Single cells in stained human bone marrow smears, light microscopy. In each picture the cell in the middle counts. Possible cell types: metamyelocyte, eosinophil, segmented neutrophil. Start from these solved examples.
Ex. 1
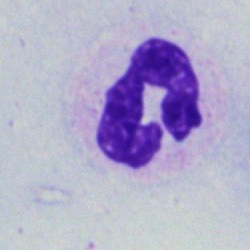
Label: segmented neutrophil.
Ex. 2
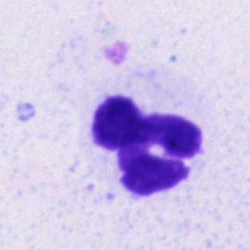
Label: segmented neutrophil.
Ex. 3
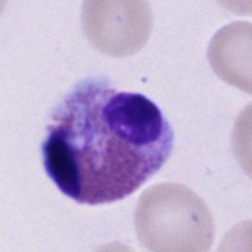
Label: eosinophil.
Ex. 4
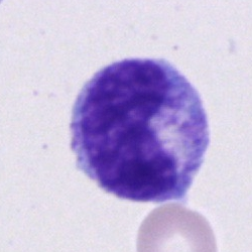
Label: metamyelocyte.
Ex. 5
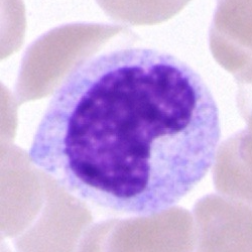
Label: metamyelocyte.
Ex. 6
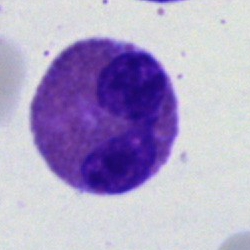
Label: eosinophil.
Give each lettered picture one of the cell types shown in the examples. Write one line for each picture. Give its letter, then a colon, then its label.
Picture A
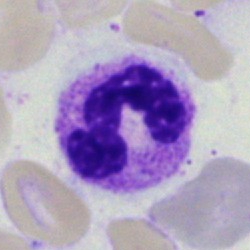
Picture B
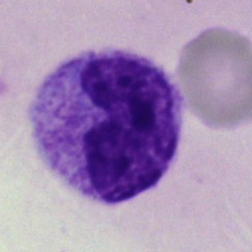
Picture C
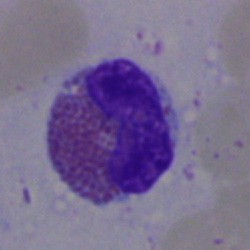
A: segmented neutrophil.
B: metamyelocyte.
C: eosinophil.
